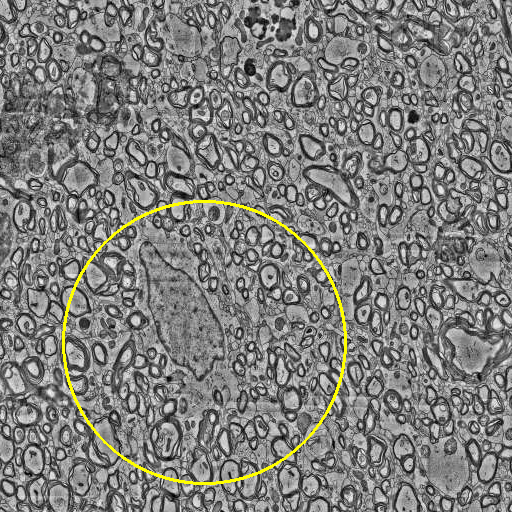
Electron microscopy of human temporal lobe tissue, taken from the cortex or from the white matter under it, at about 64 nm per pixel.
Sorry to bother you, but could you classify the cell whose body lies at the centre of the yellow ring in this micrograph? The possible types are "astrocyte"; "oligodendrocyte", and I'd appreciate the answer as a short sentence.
The ringed cell body is that of an astrocyte.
